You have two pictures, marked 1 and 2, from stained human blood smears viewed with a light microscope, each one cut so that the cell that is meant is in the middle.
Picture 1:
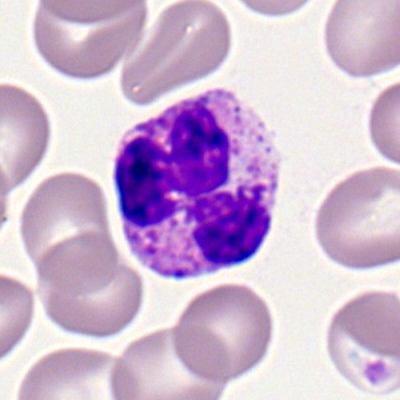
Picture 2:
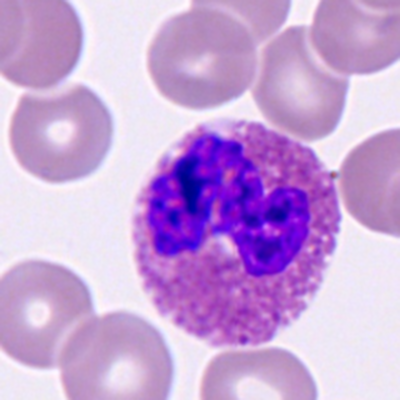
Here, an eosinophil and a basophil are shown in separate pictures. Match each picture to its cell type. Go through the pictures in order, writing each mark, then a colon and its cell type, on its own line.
1: basophil
2: eosinophil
